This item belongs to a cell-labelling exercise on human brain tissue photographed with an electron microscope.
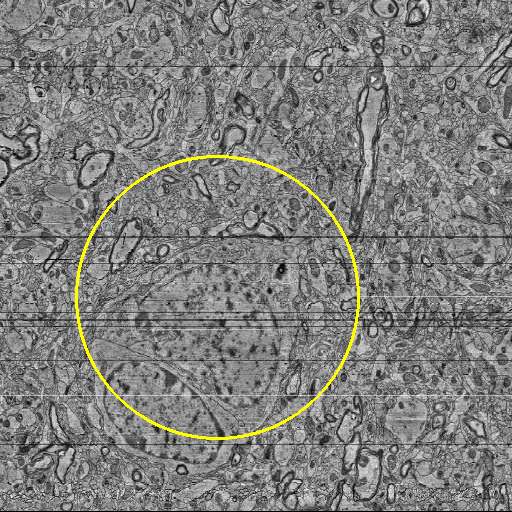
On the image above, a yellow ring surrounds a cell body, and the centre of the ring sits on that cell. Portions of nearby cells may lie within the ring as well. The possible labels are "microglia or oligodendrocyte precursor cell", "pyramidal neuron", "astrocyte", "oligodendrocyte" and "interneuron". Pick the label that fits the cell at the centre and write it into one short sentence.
This cell should be labelled as an interneuron.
